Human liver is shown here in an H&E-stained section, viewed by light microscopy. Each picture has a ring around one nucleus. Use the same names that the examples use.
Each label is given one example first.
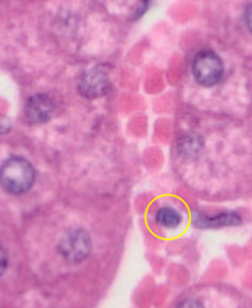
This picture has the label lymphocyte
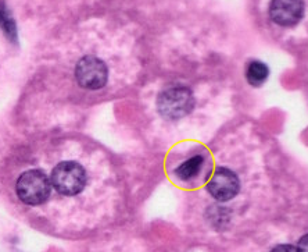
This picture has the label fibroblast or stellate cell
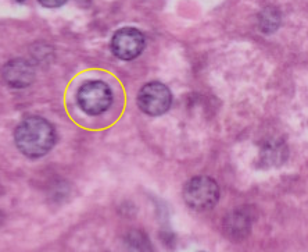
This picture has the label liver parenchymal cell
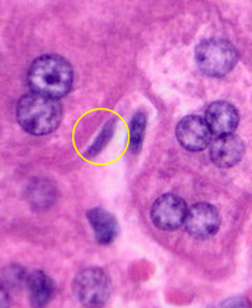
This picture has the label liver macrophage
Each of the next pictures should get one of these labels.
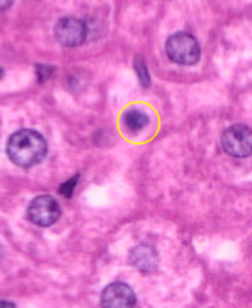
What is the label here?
lymphocyte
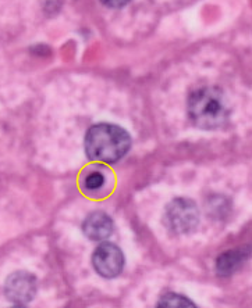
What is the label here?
lymphocyte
